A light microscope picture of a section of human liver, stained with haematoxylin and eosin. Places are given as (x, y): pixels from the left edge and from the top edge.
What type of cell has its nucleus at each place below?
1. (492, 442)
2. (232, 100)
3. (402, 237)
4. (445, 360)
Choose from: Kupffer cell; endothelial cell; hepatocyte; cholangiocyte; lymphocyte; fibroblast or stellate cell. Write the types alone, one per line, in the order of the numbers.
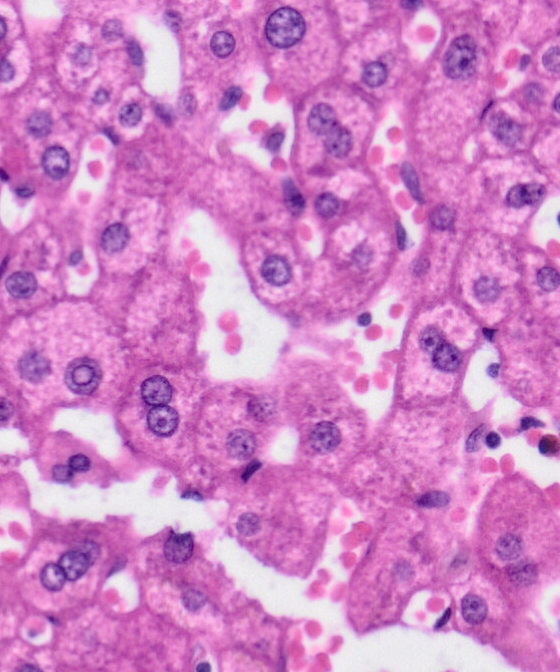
lymphocyte
Kupffer cell
endothelial cell
hepatocyte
